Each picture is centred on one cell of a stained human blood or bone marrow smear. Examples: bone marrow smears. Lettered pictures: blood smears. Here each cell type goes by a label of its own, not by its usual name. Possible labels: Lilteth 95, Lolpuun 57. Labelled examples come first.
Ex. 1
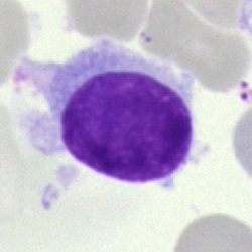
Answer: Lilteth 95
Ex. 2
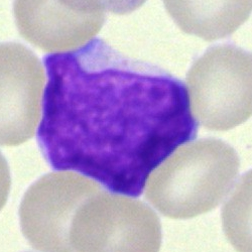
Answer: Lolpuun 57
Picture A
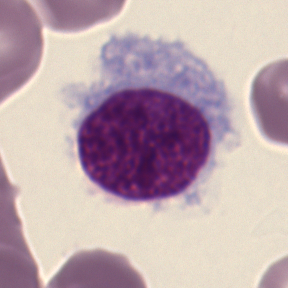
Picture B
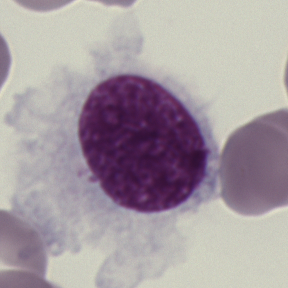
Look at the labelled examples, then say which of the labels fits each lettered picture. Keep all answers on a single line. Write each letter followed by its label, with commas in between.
A Lilteth 95, B Lilteth 95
